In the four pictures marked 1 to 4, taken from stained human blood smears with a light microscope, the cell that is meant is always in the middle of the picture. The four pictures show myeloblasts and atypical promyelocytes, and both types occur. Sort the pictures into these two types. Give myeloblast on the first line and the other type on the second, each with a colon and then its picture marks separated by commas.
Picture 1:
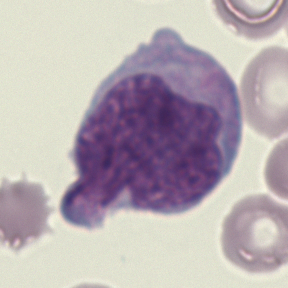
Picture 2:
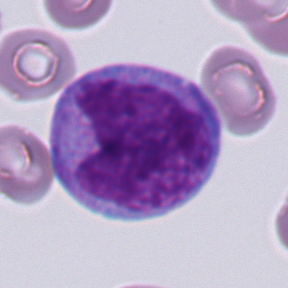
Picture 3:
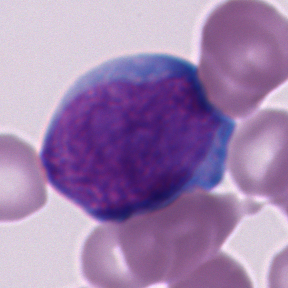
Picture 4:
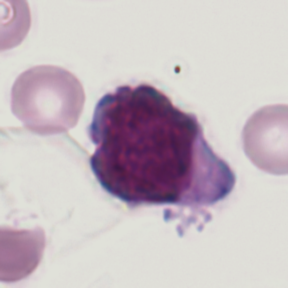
myeloblast: 3
atypical promyelocyte: 1, 2, 4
